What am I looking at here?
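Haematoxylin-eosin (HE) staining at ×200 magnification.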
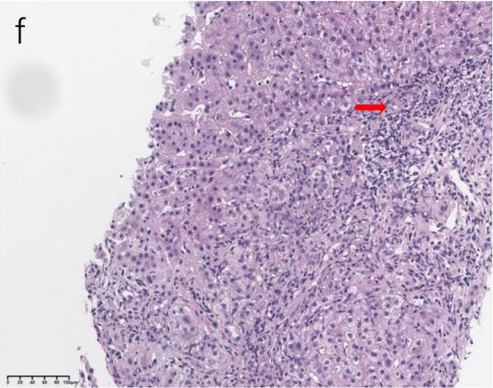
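This is liver tissue with a portal tract that is heavily infiltrated by lymphocytes and plasma cells, shown as a dense band of small cells with dark, round nuclei. The band lies against plates of large, polygonal hepatocytes that have pink cytoplasm and round central nuclei. Within the inflamed area there are small, irregular clusters of ductular cells that have no well-formed lumen.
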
